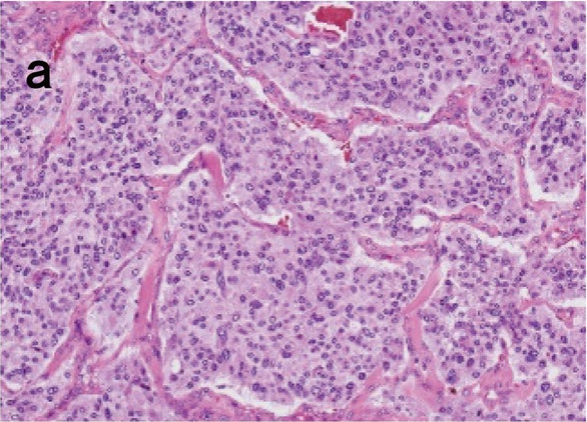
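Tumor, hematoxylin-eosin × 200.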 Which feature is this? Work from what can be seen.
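Tumor cells lie in large rounded groups and elongated bands. The groups are separated by thin pink strands of stroma. On this evidence: nests and cords of cells.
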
